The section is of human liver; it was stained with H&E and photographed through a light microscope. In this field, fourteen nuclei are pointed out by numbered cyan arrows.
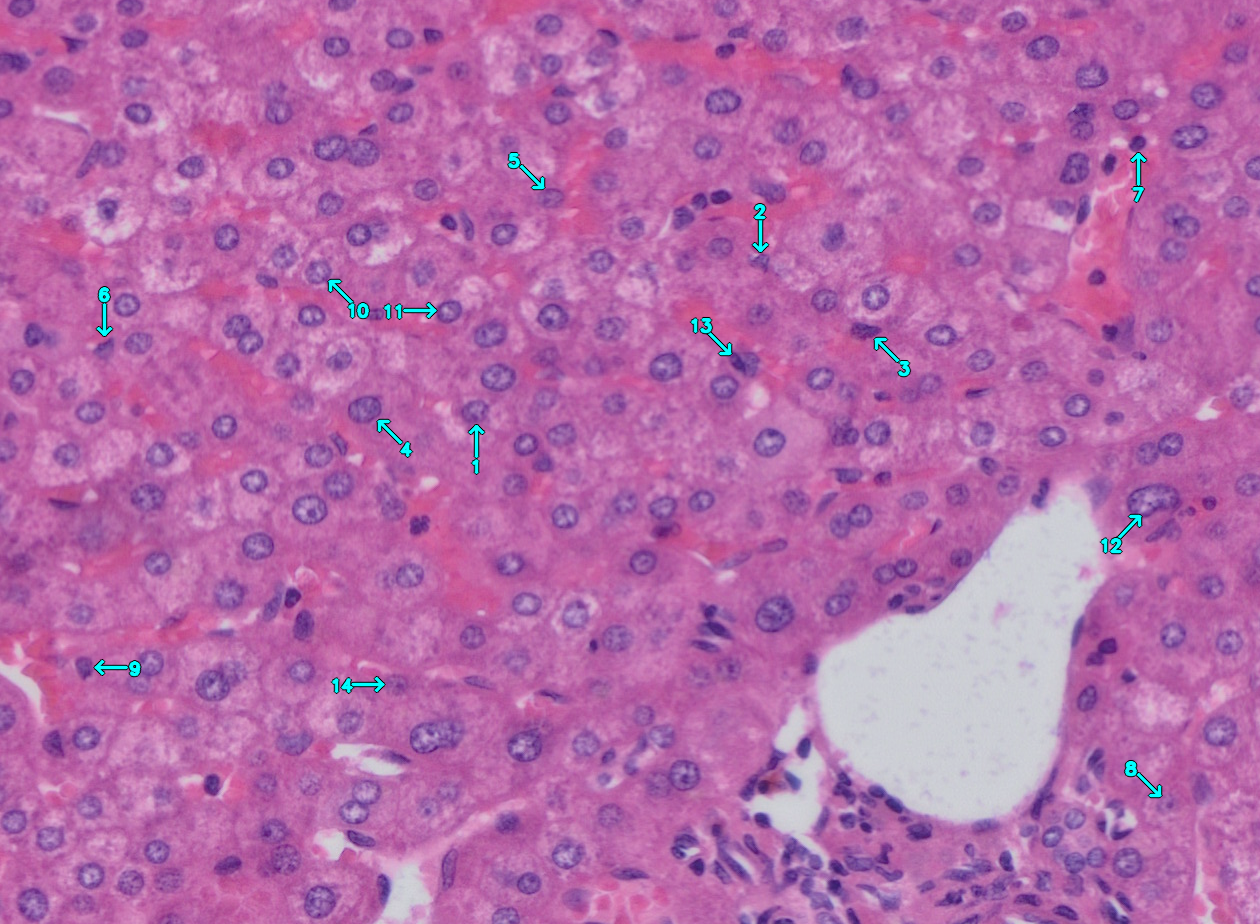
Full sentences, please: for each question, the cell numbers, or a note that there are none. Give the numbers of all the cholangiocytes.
It is true of every numbered cell that it is not one of the cholangiocytes.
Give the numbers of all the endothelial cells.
In terms of cell type, cells 2 and 6 are endothelial cells.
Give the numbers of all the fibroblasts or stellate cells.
Cells 3, 9 and 13 are classified as fibroblasts or stellate cells.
